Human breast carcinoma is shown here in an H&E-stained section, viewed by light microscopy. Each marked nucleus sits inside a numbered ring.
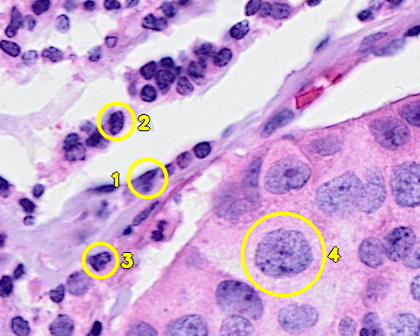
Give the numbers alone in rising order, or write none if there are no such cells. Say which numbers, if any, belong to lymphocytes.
1, 2, 3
